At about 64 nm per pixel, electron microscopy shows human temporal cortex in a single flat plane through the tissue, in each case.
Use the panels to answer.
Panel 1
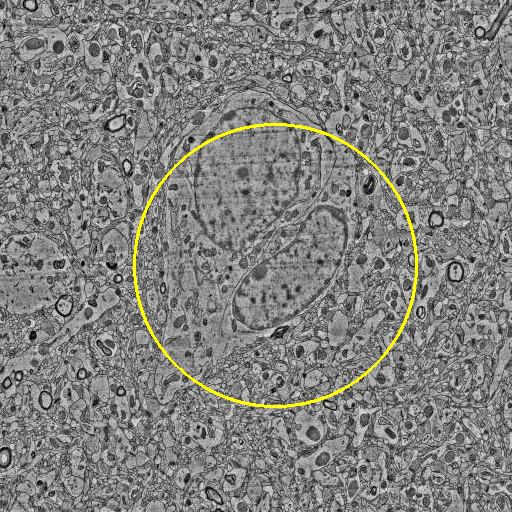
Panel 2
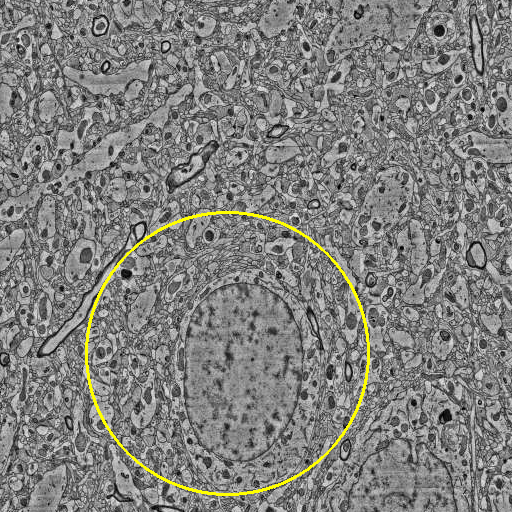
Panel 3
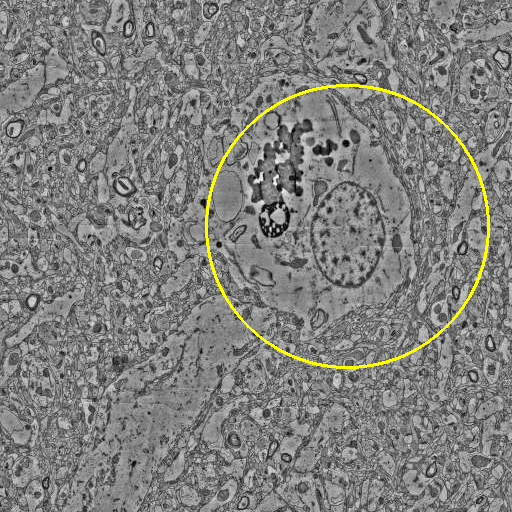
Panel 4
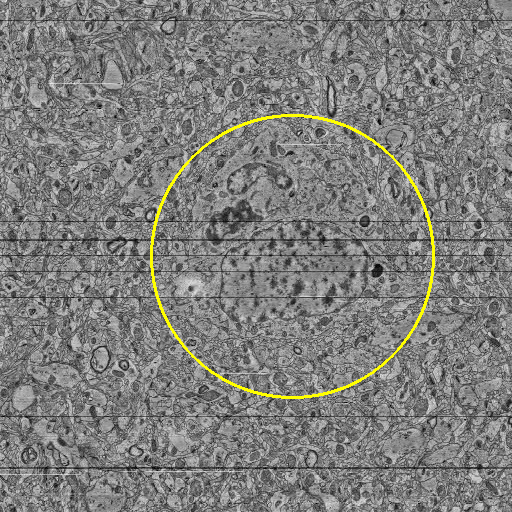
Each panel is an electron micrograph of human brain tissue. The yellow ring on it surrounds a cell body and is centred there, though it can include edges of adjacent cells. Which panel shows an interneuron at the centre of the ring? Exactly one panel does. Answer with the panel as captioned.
Panel 4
